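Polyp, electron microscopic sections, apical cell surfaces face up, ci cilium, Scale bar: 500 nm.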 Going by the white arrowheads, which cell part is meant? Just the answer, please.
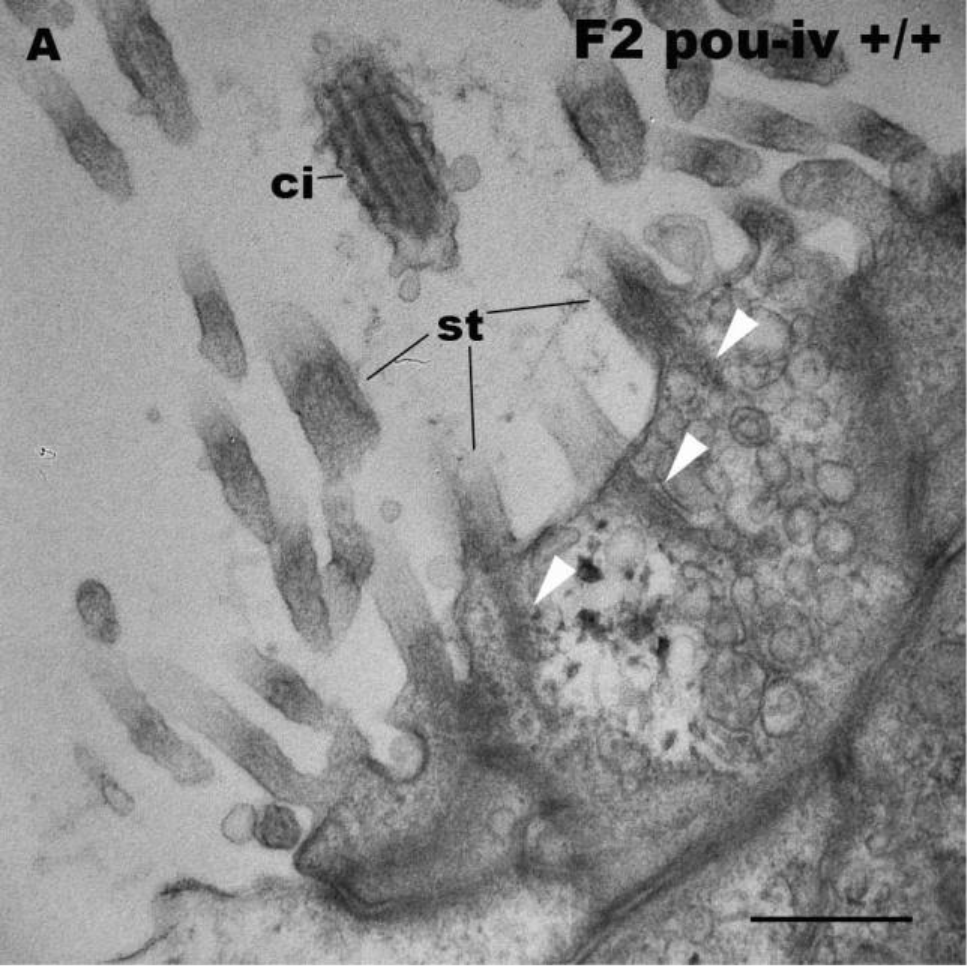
stereovillar rootlets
